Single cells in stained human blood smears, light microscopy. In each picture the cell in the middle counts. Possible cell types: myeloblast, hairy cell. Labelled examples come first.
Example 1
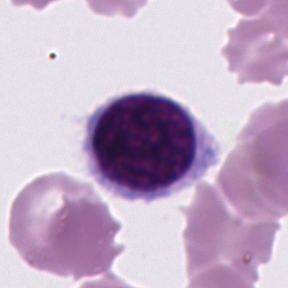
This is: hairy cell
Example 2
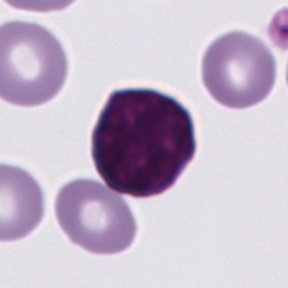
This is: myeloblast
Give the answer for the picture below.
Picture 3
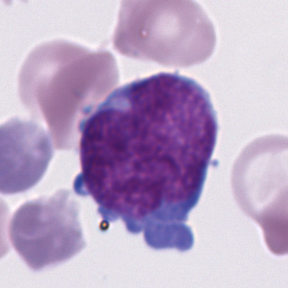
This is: myeloblast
